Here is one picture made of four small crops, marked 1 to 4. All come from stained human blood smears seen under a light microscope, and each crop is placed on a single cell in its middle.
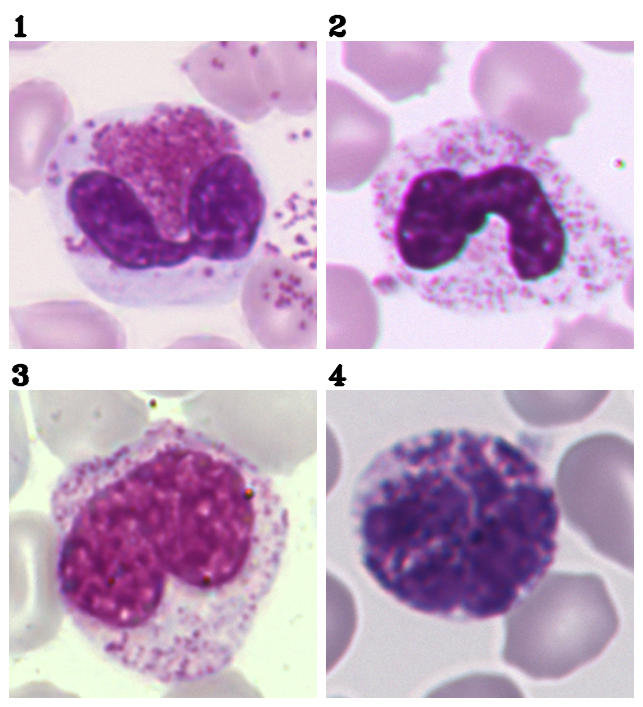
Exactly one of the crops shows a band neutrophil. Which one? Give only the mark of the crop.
3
